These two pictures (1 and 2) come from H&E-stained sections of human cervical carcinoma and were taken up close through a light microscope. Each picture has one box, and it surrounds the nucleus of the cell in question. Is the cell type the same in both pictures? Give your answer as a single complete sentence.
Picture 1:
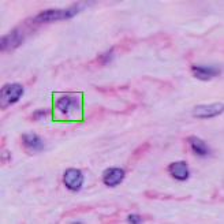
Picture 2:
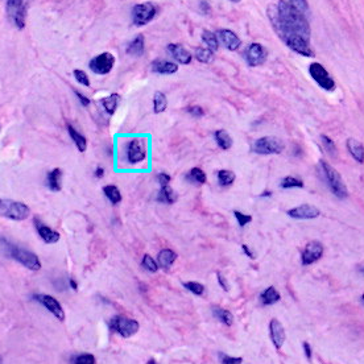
No; the cell in picture 1 is a smooth muscle cell, while the one in picture 2 is a fibroblast.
